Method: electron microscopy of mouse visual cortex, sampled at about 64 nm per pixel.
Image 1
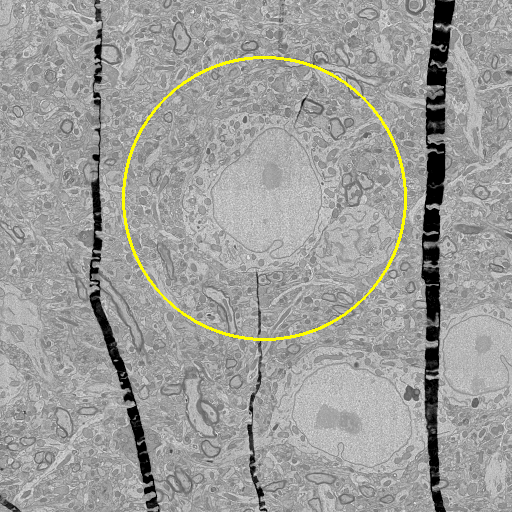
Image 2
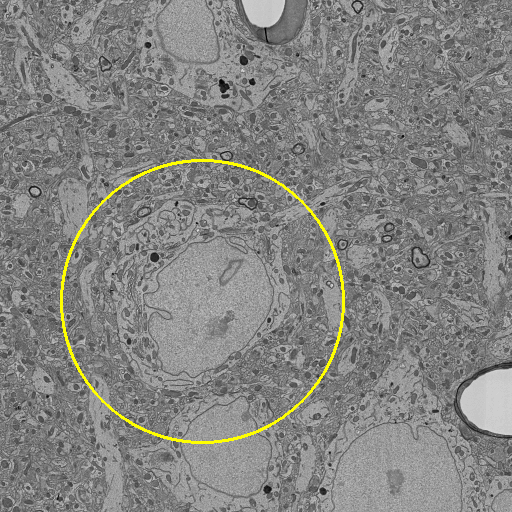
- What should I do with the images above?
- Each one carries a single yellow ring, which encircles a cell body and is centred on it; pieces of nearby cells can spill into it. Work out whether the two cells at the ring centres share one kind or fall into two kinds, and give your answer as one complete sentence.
The ring-centre cells of Image 1 and Image 2 share one kind.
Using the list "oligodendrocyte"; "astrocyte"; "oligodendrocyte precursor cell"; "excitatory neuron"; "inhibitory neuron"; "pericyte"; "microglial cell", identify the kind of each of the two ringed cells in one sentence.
The cell in the first picture is an inhibitory neuron, and so is the one in the second.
